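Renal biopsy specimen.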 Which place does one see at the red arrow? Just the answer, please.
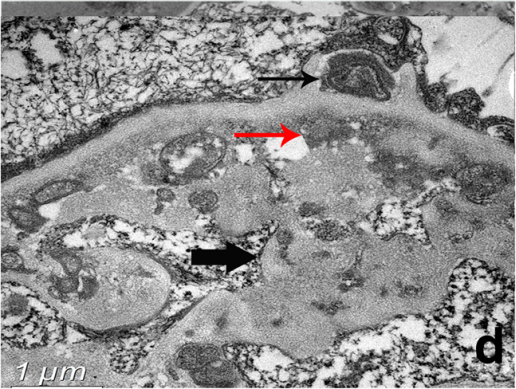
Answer: subendothelial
